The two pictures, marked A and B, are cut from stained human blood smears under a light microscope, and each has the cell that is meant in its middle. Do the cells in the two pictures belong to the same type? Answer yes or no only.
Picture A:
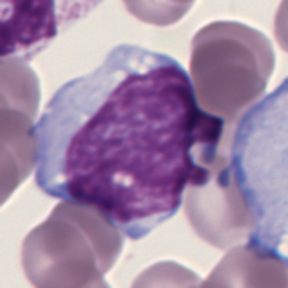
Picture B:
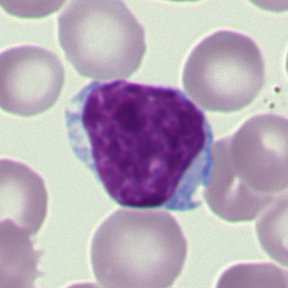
no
